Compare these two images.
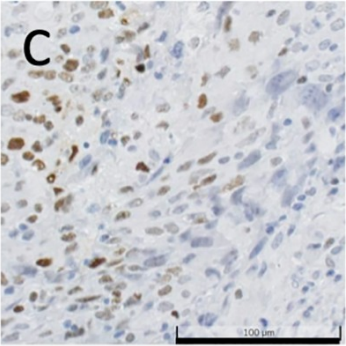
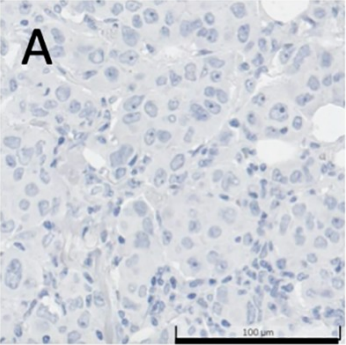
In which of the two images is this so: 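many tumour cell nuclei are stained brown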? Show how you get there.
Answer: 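First image: numerous nuclei are stained brown, some intensely. Second image: all nuclei are blue with no brown stain.
The first image.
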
